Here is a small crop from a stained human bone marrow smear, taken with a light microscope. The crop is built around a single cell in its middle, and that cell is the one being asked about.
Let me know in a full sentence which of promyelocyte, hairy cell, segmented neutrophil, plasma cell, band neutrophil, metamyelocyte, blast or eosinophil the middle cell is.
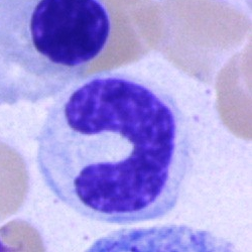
The middle of this crop holds a band neutrophil.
